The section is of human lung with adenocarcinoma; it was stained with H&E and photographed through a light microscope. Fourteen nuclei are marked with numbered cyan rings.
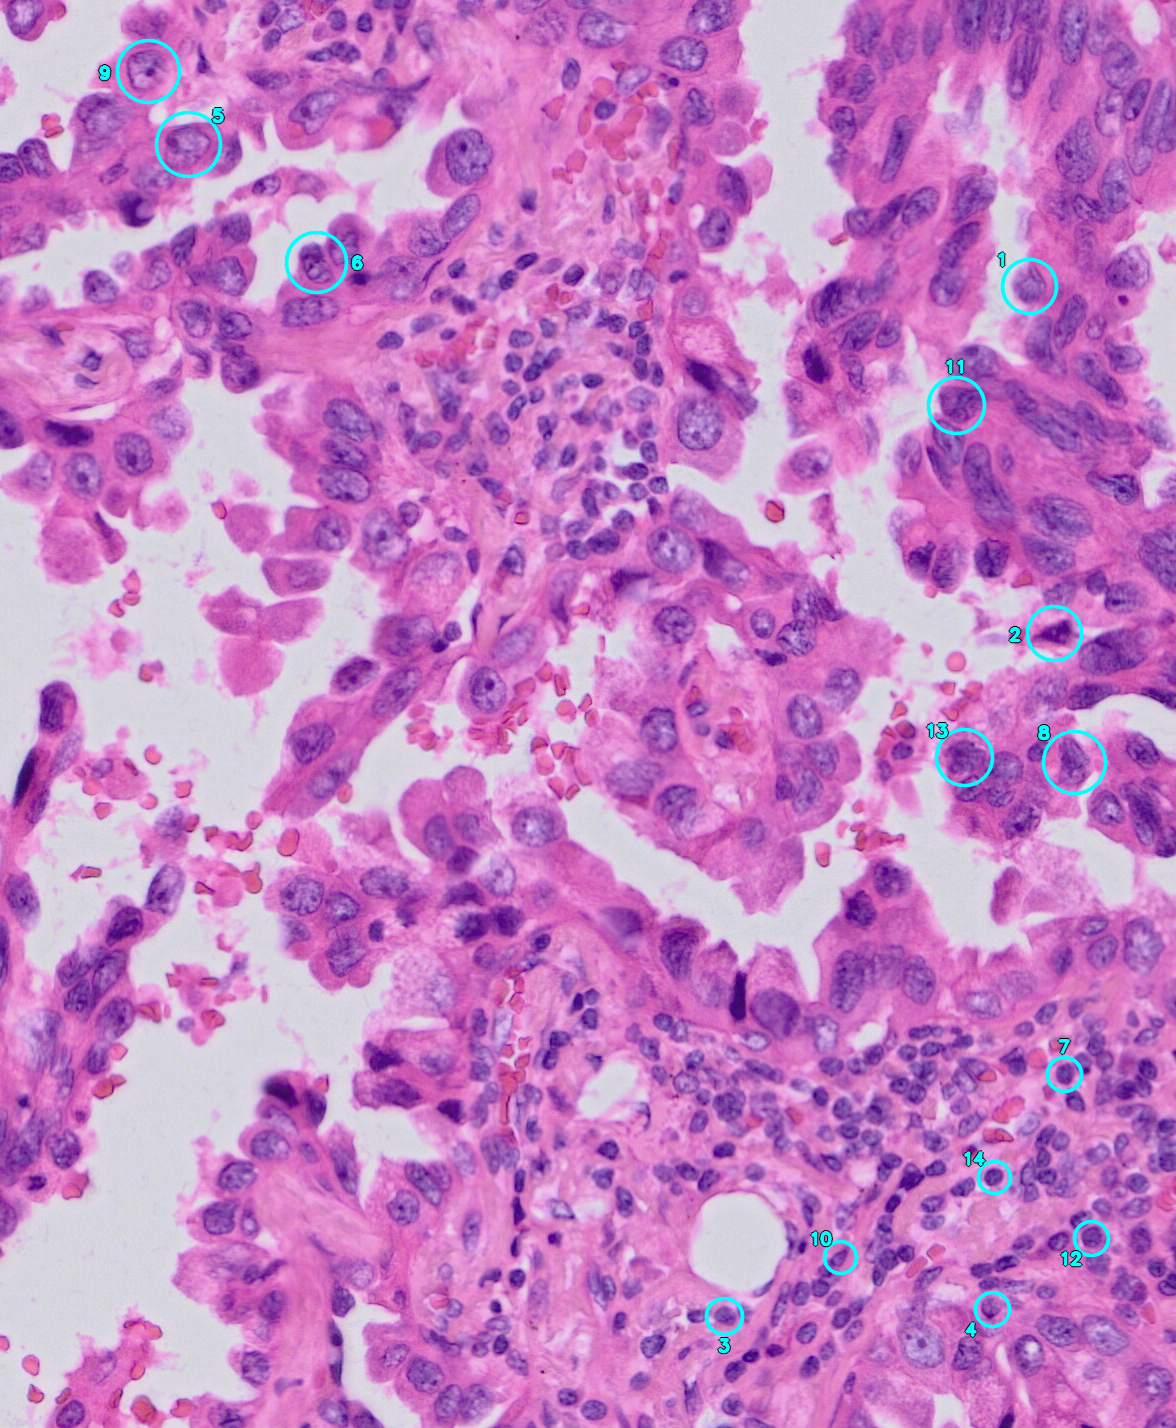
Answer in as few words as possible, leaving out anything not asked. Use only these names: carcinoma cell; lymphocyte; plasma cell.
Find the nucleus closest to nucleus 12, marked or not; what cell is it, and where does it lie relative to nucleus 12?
a lymphocyte, above and to the left of nucleus 12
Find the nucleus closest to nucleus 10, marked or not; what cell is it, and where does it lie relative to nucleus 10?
a lymphocyte below and to the left of nucleus 10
